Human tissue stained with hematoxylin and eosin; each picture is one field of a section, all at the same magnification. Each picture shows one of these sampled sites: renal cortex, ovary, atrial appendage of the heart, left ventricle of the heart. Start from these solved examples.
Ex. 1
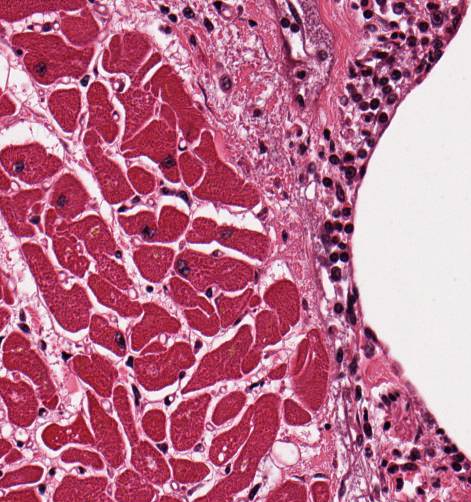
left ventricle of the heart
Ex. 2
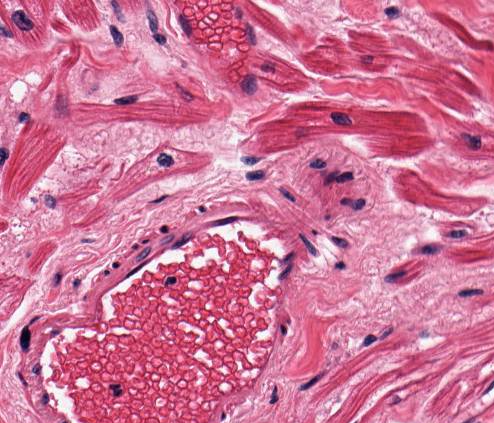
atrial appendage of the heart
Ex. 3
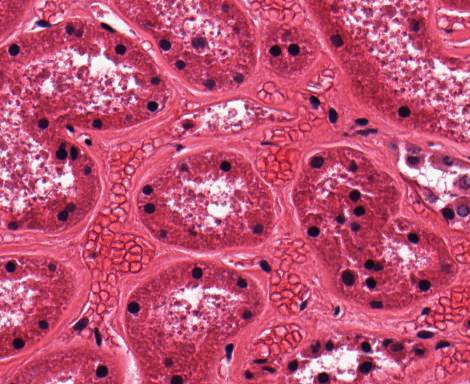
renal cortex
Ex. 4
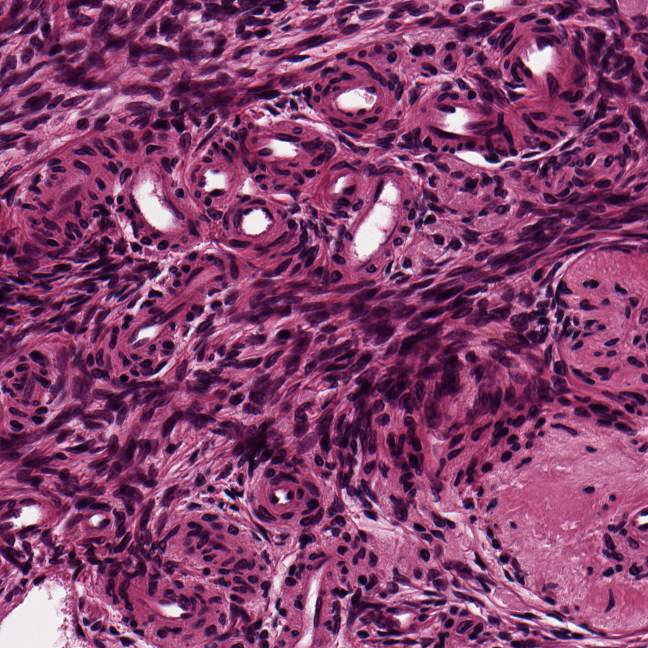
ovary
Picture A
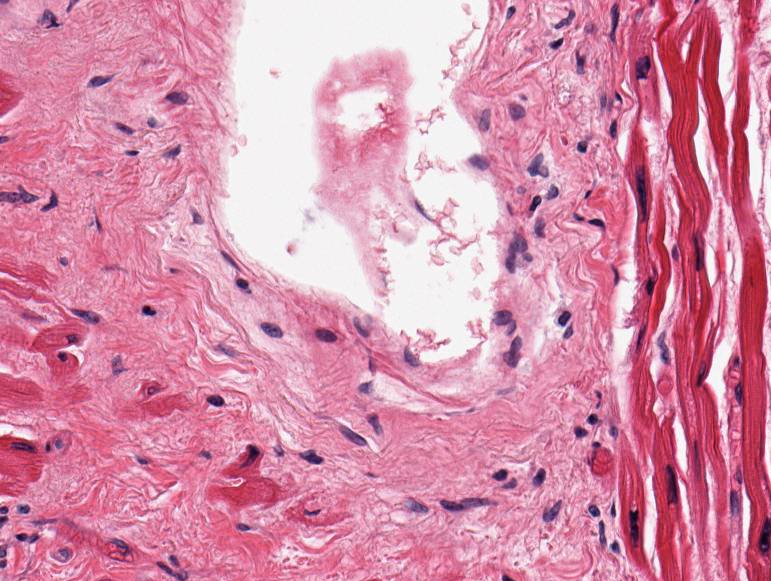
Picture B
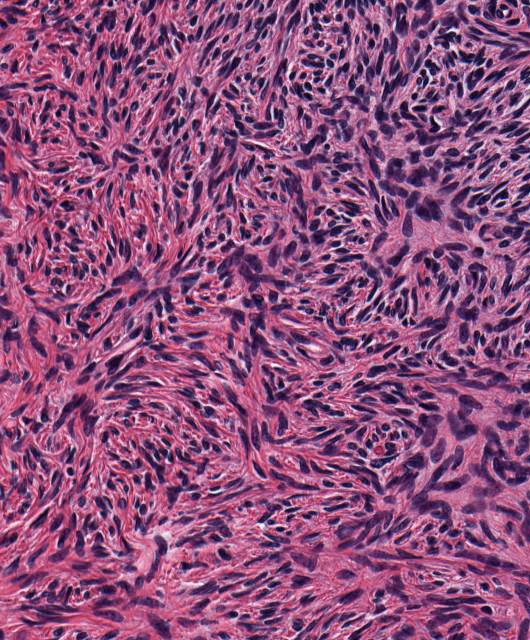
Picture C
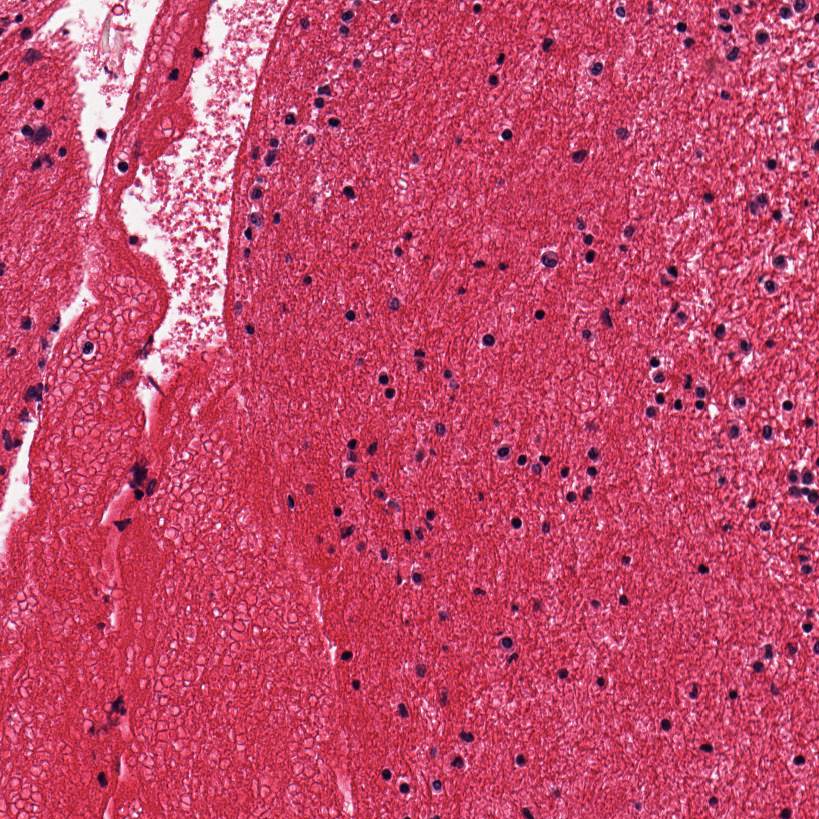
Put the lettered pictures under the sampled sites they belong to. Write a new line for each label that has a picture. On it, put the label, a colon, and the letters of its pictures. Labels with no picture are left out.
ovary: B
atrial appendage of the heart: A, C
